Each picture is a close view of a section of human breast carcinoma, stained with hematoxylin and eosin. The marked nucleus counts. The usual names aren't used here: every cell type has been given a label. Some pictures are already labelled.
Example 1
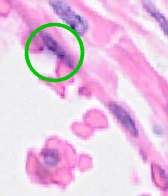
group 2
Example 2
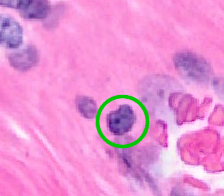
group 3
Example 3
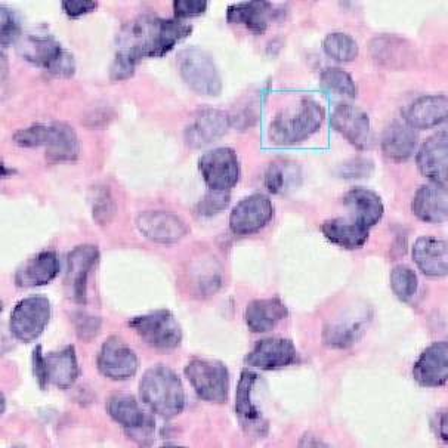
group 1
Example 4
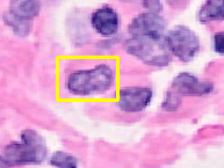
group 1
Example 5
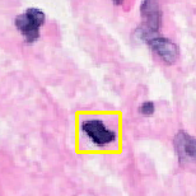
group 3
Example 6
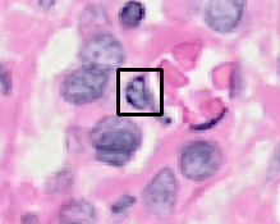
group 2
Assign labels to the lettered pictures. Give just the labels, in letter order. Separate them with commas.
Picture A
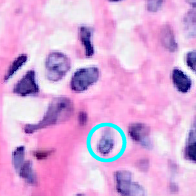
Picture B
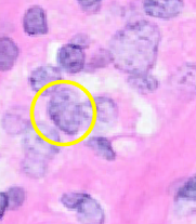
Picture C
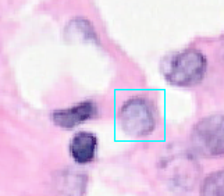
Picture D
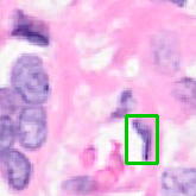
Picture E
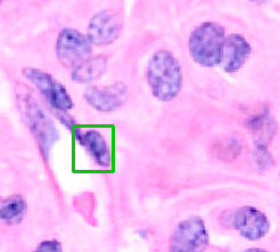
group 3, group 1, group 1, group 2, group 2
